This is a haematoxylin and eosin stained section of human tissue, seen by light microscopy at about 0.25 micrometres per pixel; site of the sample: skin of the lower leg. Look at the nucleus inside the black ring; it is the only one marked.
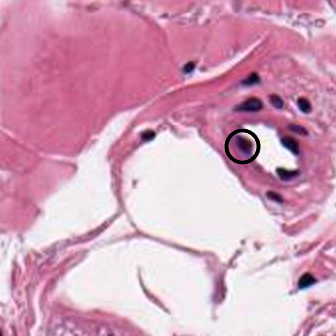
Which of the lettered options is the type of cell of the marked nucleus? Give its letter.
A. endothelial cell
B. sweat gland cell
A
